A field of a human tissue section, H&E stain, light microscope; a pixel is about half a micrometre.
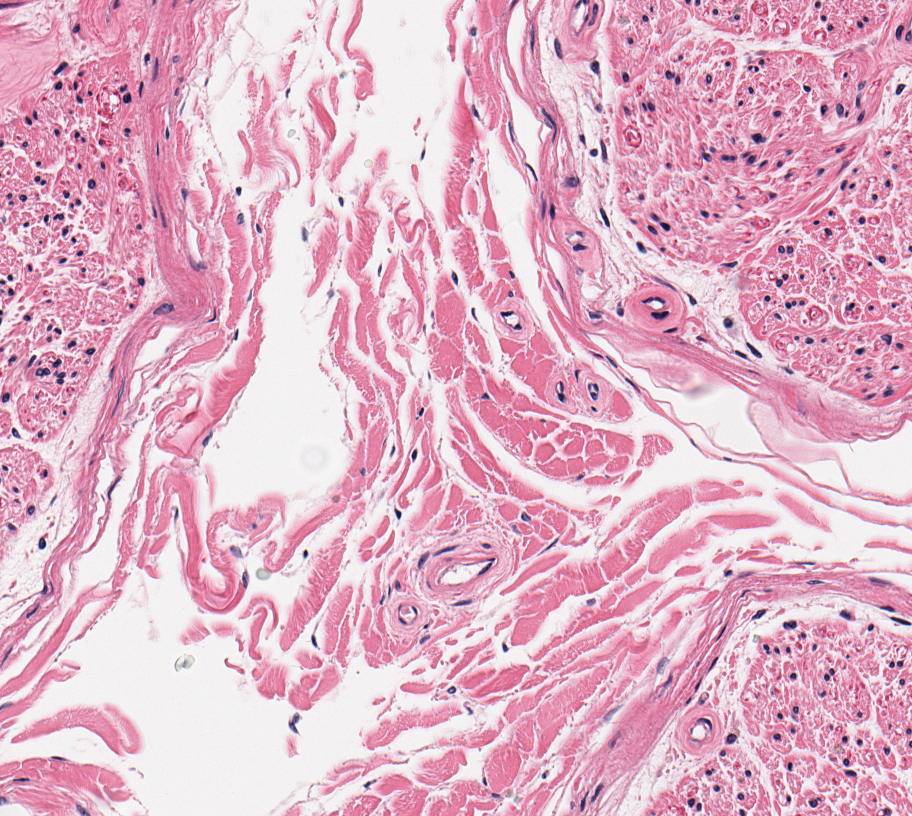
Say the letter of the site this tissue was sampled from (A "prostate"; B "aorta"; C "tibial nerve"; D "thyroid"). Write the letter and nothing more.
C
